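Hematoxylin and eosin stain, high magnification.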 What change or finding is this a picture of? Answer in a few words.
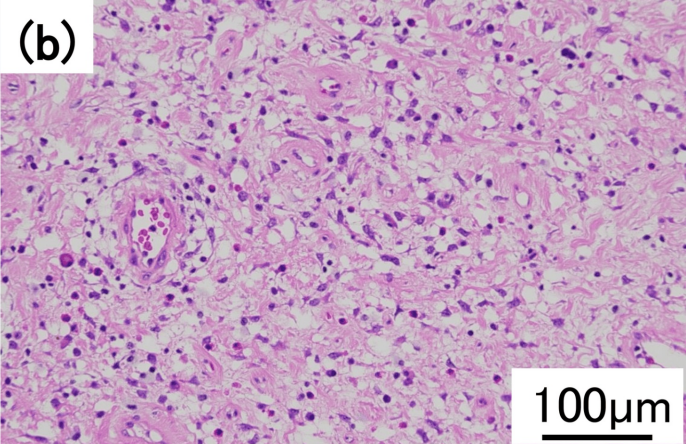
Spindle cell proliferation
